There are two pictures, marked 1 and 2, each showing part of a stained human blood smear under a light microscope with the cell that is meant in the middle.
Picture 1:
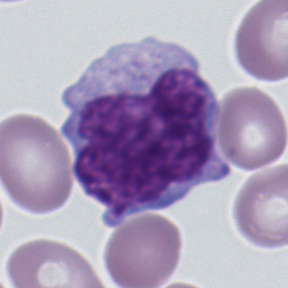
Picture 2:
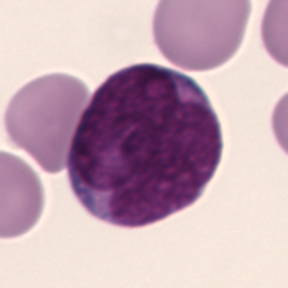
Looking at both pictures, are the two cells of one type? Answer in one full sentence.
No, picture 1 shows an atypical promyelocyte and picture 2 shows a myeloblast.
